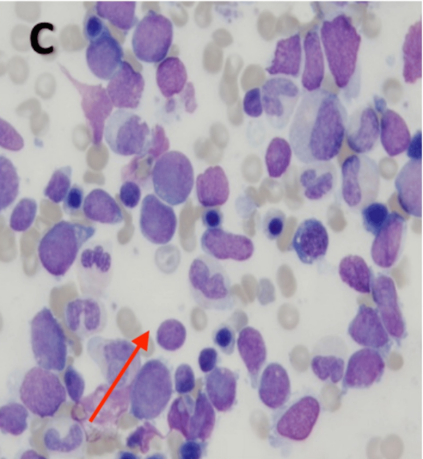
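Bone marrow smear at higher magnification showing numerous blasts. The cells are large and round to oval, each dominated by a big purple nucleus with fine, evenly spread chromatin and a narrow border of light blue cytoplasm. Some nuclei are slightly irregular in outline. The blasts are scattered singly across the field, mixed with a few smaller cells that have small, dense, dark nuclei, and with pale red blood cells in the background.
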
